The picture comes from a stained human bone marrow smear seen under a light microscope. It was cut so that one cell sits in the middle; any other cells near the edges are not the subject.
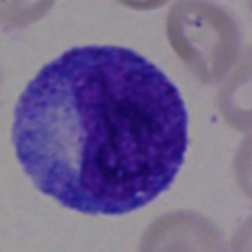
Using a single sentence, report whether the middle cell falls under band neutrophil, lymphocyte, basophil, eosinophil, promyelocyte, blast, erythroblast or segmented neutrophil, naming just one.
Of the cells in this crop, the central one is a promyelocyte.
